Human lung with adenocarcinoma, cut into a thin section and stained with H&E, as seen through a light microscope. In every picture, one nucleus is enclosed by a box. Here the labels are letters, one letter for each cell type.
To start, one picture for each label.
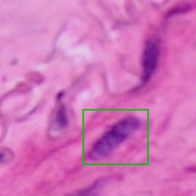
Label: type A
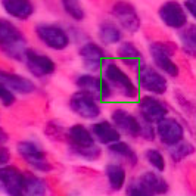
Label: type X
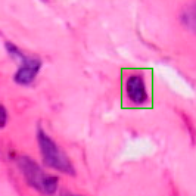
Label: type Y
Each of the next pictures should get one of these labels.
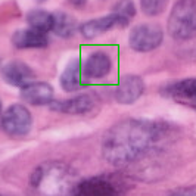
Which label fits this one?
type X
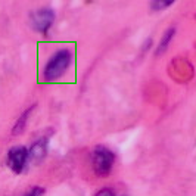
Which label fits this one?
type Y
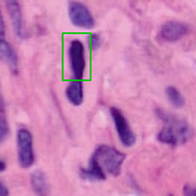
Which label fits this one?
type X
